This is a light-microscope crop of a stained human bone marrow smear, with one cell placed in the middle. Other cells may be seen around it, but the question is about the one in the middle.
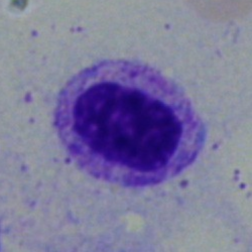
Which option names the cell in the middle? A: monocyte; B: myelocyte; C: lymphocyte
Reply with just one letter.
B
